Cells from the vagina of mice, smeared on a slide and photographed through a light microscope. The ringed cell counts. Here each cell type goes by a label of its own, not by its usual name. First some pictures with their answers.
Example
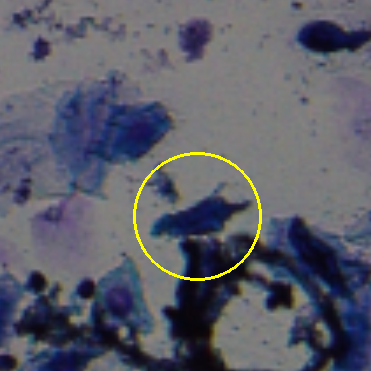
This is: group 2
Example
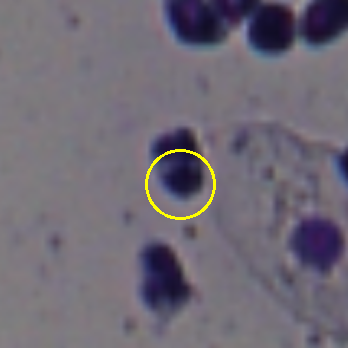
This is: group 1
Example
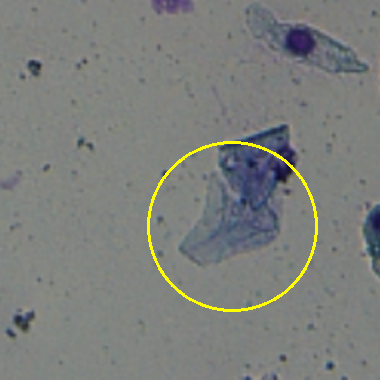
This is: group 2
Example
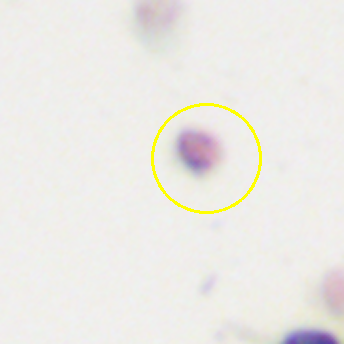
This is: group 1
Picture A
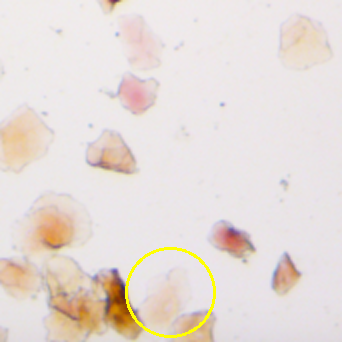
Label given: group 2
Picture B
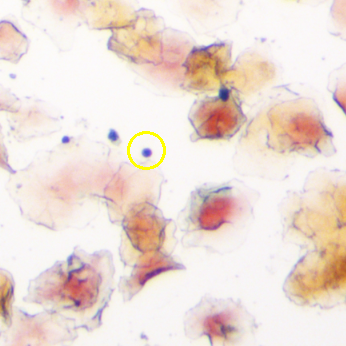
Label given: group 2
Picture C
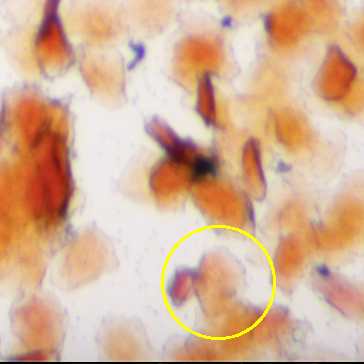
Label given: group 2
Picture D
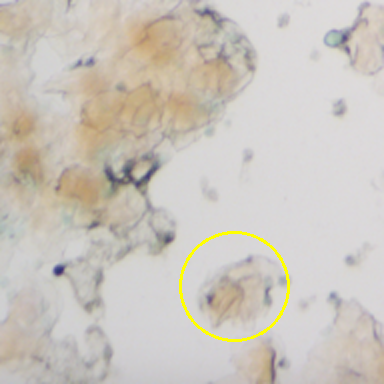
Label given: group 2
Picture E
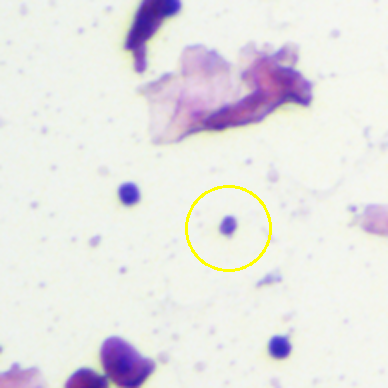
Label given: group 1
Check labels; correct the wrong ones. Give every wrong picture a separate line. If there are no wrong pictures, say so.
B: not group 2 but group 1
